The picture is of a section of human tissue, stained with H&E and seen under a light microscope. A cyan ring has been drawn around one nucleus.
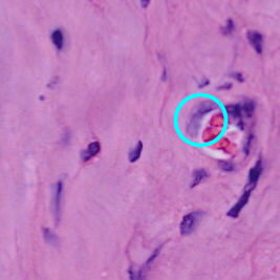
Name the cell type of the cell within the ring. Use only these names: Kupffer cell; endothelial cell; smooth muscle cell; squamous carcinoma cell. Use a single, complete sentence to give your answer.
In this tissue sample, the cell within the ring is an endothelial cell.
